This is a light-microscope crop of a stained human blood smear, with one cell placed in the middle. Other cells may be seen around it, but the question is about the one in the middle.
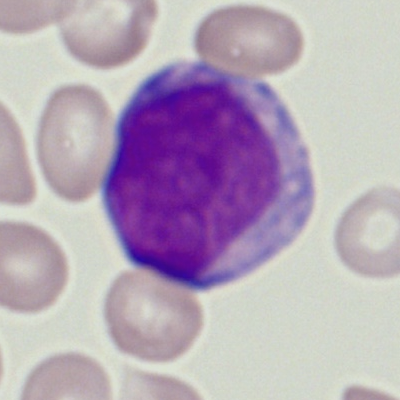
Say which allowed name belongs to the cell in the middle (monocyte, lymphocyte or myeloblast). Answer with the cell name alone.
myeloblast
